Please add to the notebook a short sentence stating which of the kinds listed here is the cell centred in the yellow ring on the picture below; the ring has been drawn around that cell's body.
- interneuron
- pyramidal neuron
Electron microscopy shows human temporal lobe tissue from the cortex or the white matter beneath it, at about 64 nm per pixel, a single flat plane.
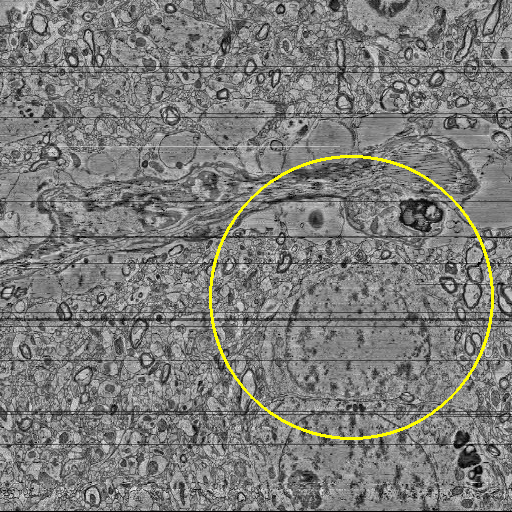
The cell centred in the yellow ring is an interneuron.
